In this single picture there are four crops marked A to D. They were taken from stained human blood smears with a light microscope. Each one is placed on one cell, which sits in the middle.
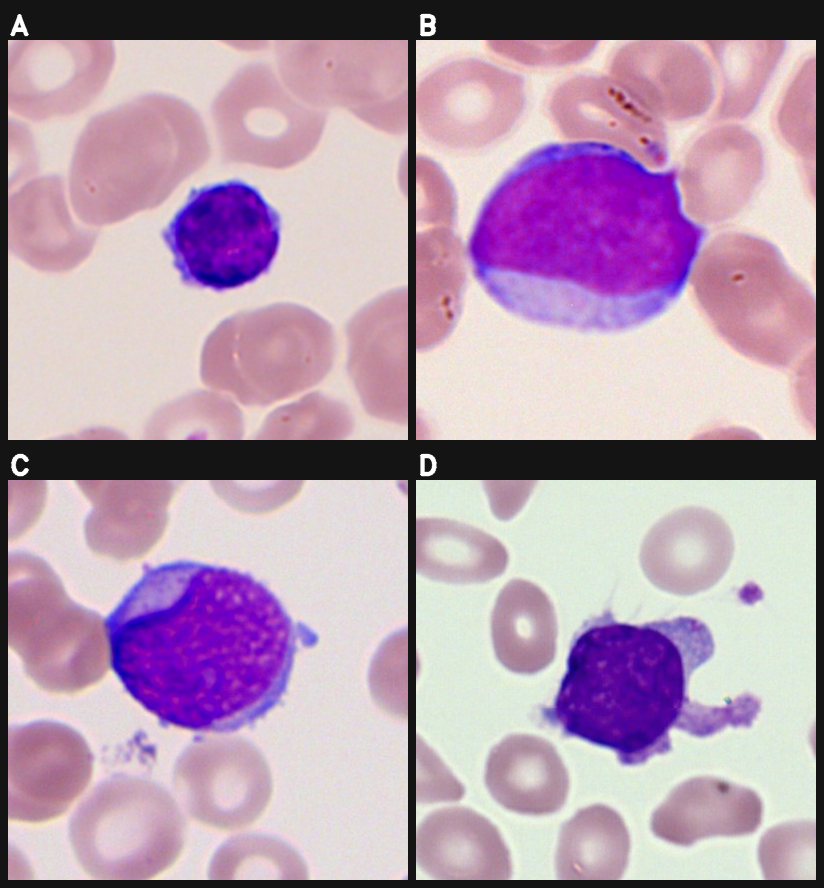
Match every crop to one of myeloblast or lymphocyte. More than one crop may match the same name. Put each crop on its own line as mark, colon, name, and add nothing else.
A: lymphocyte
B: myeloblast
C: myeloblast
D: lymphocyte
